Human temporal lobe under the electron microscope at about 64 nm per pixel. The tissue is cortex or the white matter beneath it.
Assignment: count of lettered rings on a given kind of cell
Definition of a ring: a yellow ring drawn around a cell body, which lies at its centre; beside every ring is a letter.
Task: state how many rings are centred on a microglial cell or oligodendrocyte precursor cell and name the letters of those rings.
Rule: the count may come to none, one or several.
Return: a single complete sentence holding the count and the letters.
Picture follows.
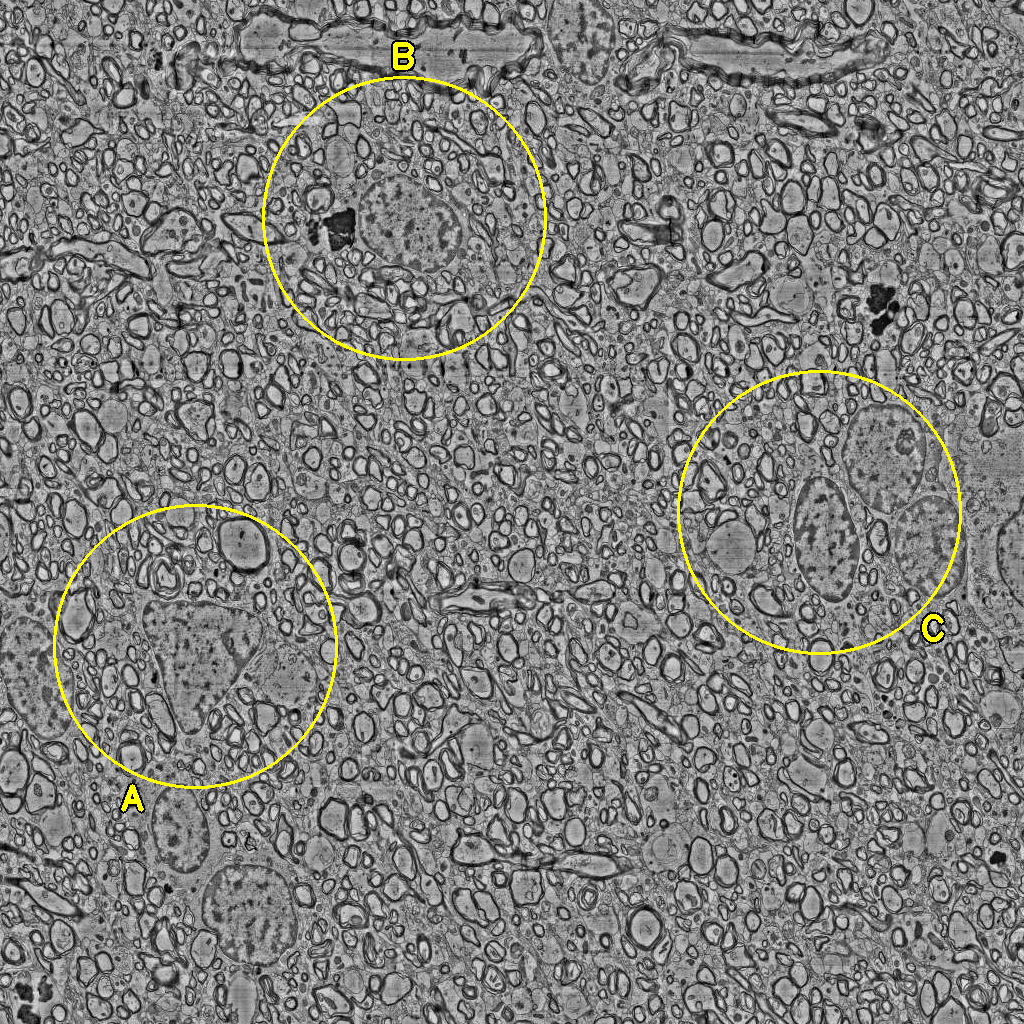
The two rings tagged with the letters A and C are each centred on a microglial cell or oligodendrocyte precursor cell.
